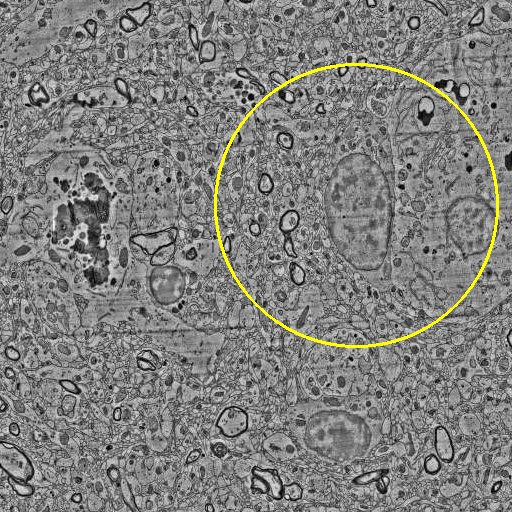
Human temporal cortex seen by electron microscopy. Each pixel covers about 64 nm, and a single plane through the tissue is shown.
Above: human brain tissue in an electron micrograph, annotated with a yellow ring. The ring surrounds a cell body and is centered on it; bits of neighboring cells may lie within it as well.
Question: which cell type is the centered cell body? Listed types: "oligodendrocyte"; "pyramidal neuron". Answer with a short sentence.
The centered cell body is an oligodendrocyte.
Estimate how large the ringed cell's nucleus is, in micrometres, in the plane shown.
Roughly 8 micrometres by 4 micrometres, so the nucleus is clearly longer than it is wide in this plane.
